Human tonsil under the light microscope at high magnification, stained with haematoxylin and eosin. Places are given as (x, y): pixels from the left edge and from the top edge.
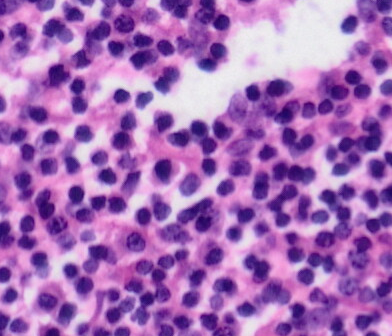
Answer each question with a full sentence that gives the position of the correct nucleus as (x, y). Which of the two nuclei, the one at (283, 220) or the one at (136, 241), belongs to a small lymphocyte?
Lying within a small lymphocyte is the nucleus at (283, 220).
